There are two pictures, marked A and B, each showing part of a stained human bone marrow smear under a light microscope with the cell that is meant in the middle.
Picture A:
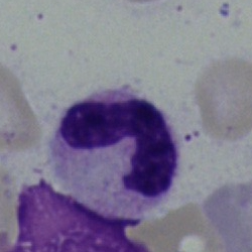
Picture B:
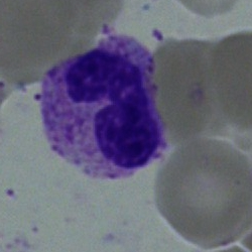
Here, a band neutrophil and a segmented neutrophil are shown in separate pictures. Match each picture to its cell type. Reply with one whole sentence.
It is picture A that shows a segmented neutrophil, and picture B that shows a band neutrophil.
